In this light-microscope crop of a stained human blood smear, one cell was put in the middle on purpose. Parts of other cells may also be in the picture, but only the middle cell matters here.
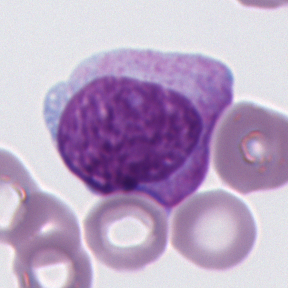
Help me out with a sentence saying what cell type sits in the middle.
Regarding the central cell, it is an atypical promyelocyte.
